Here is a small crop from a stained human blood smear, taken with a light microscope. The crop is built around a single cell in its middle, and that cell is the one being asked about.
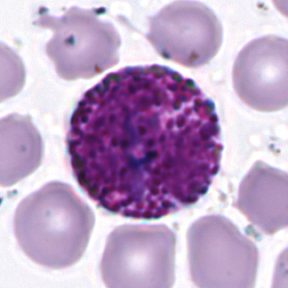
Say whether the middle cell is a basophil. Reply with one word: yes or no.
yes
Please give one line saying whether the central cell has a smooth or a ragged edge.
Thanks for asking; the cell edge is smooth and has no projections.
